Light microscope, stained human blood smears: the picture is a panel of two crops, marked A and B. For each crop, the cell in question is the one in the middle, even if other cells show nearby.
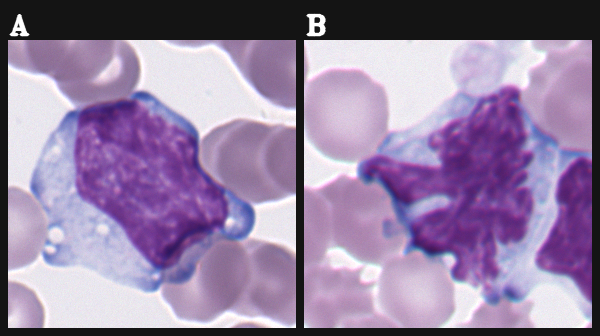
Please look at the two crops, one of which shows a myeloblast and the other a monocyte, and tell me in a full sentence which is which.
Crop A and crop B are a myeloblast and a monocyte, in that order.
